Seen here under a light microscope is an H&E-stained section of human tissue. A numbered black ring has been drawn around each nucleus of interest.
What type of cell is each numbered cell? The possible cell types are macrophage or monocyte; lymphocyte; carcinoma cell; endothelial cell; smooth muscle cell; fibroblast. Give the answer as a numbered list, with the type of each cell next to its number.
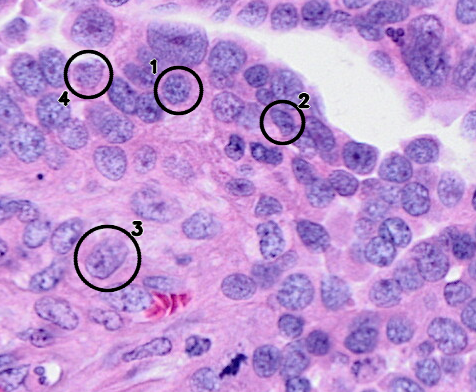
1. carcinoma cell
2. carcinoma cell
3. fibroblast
4. carcinoma cell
